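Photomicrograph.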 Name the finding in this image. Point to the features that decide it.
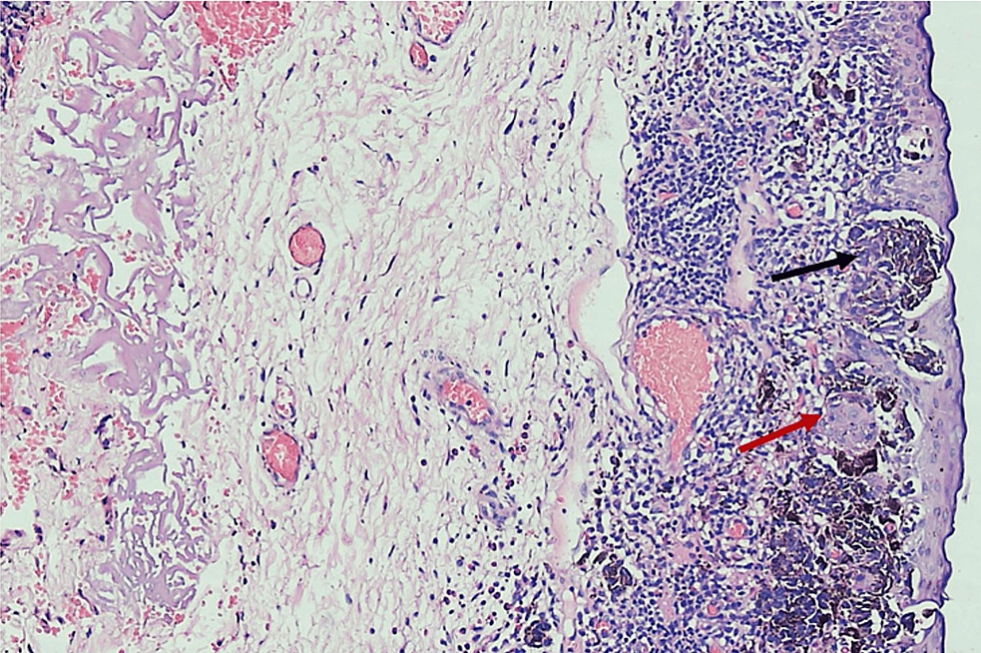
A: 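Dense sheets of small round cells with dark round nuclei fill the area beneath the epithelium. These small dark cells lie around the pigmented and pale cell nests.
Answer: inflammatory cells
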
